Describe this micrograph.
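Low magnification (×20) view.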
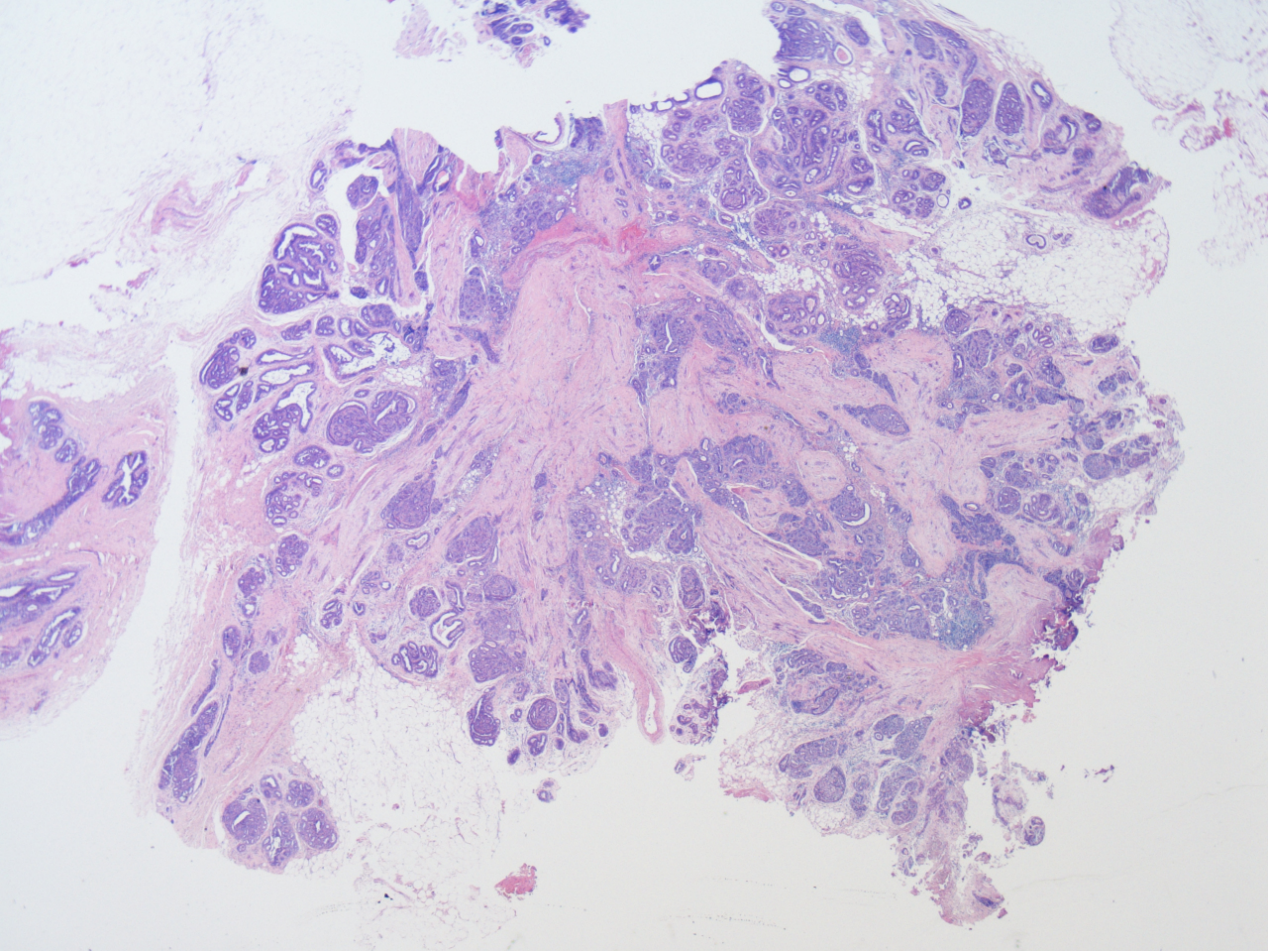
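The middle of the tissue is occupied by a pale pink, dense fibrous core, from which pink fibrous bands extend outward in a roughly radiating, star-like arrangement. Between and around these bands lie islands of glandular parenchyma: purple-staining clusters of rounded and branching ducts and acini, some with open lumens, others more solid. Small glandular structures also appear caught within the fibrous centre. Pale, loose fatty and oedematous stroma surrounds the lesion at its edges, and faint bluish areas are scattered within the stroma.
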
